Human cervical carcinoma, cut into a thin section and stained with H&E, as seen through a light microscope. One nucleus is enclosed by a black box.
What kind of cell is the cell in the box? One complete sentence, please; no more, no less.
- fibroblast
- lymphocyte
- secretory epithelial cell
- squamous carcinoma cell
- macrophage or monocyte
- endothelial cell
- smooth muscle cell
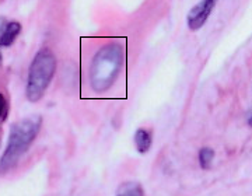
For the purposes of cell typing, the cell in the box is categorized as an endothelial cell.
